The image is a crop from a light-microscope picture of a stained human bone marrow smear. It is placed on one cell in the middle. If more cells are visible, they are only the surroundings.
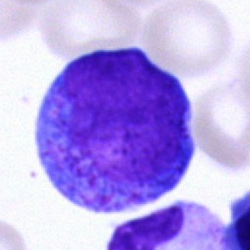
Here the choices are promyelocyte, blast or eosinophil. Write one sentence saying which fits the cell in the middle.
The cell nearest the centre of this crop is a promyelocyte.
